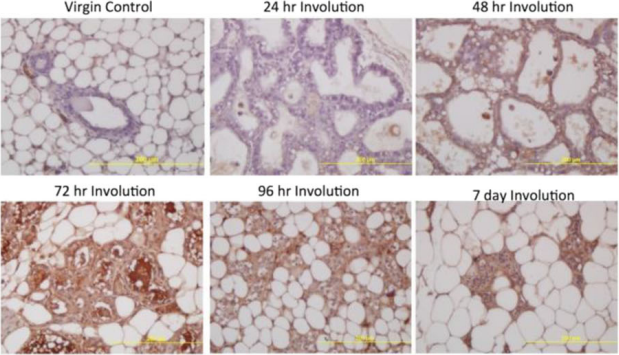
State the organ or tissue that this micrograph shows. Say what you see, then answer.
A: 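Large empty fat cells fill much of the tissue. Epithelial ducts and alveoli with open lumens lie among the fat cells. The answer: mammary glands.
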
